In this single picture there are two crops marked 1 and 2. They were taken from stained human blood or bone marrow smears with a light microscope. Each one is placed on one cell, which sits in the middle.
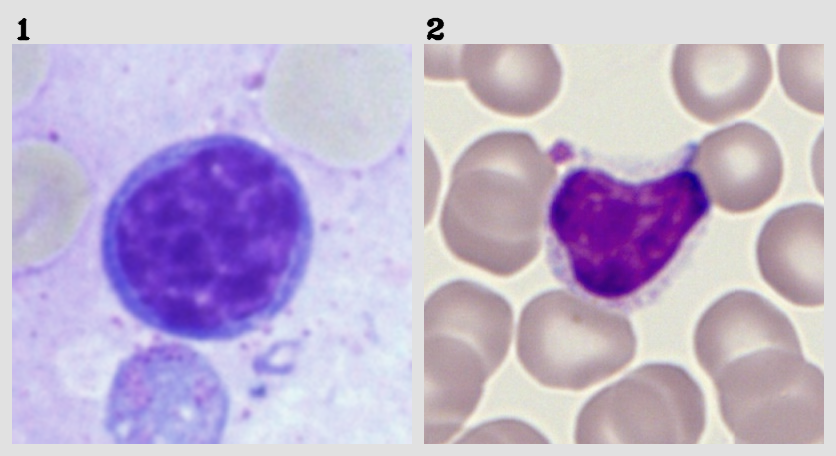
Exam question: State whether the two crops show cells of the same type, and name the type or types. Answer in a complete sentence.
Yes, both crops contain lymphocytes at their centres.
